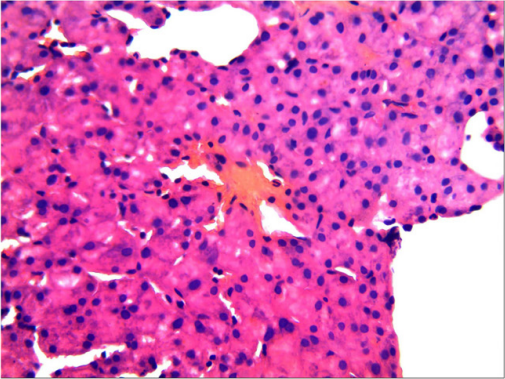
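Liver parenchyma of closely packed hepatocytes with pink granular cytoplasm and round dark nuclei. The cells look swollen and cloudy, crowding the sinusoids into thin clefts. Open vascular spaces lie near the upper edge, and a small pink eosinophilic area with a few clefts lies in the centre.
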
